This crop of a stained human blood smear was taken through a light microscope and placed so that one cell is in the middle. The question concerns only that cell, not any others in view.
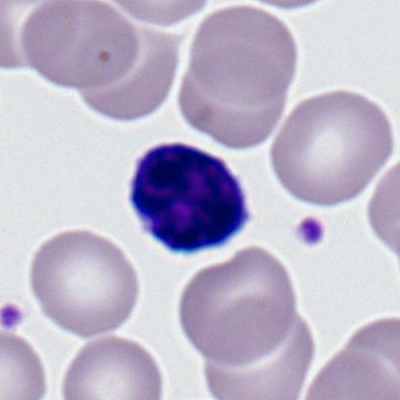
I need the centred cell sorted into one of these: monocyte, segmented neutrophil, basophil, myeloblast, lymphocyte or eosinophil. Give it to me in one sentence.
By classification, the middle cell of this crop is a lymphocyte.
